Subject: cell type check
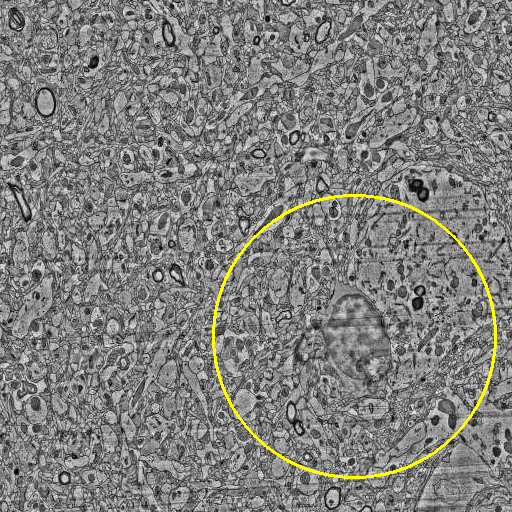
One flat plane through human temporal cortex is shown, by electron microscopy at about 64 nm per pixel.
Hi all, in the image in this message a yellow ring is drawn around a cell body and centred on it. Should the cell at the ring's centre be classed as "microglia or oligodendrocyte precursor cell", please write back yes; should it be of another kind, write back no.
no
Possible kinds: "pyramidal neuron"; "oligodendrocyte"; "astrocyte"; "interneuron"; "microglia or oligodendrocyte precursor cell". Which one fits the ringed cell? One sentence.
The cell shown in the ring is an oligodendrocyte.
